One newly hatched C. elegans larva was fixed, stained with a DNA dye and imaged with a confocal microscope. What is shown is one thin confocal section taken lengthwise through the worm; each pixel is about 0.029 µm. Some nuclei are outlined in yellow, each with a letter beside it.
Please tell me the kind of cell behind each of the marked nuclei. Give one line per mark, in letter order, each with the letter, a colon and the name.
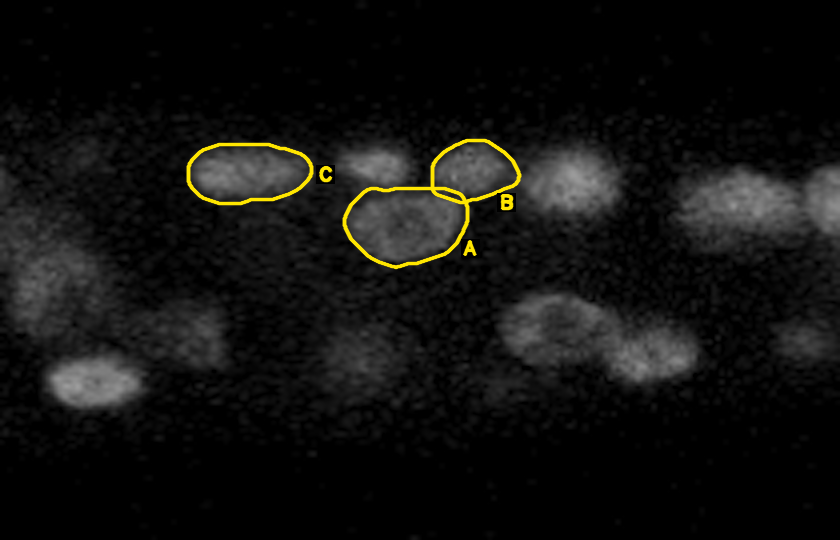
A: intestinal cell
B: neuron
C: body wall muscle cell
